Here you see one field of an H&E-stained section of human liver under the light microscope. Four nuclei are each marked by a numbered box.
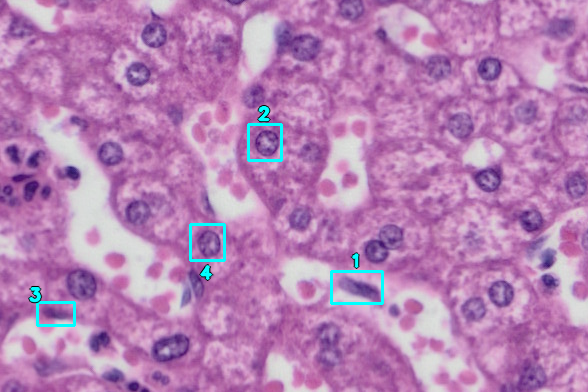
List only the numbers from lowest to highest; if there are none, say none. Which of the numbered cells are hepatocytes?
2, 4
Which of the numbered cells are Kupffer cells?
1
